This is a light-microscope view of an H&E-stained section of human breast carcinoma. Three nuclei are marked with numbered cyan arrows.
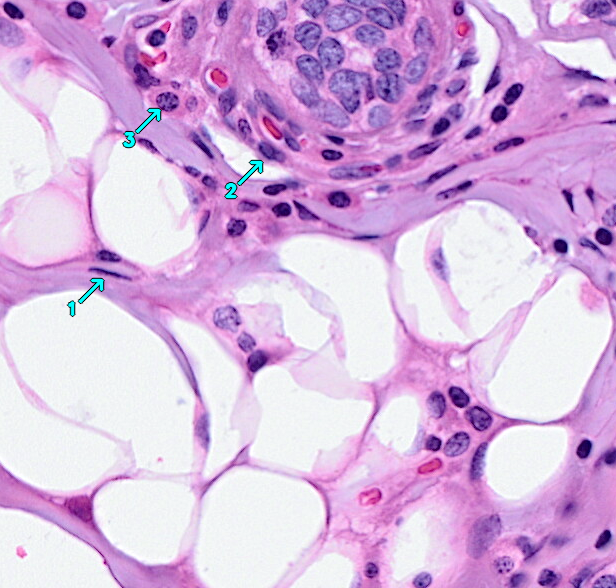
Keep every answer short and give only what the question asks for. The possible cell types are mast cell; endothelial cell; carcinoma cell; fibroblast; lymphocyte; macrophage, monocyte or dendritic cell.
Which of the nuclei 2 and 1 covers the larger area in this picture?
2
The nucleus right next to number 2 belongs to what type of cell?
endothelial cell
